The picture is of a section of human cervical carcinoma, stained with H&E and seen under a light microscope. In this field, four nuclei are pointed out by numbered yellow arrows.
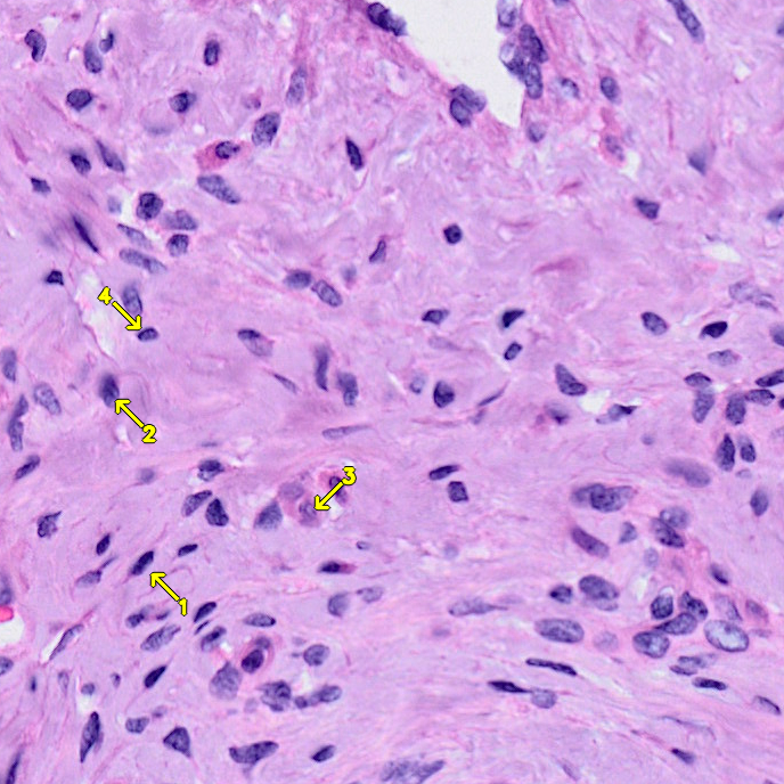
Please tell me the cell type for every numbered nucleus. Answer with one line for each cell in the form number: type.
1: fibroblast
2: fibroblast
3: endothelial cell
4: fibroblast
